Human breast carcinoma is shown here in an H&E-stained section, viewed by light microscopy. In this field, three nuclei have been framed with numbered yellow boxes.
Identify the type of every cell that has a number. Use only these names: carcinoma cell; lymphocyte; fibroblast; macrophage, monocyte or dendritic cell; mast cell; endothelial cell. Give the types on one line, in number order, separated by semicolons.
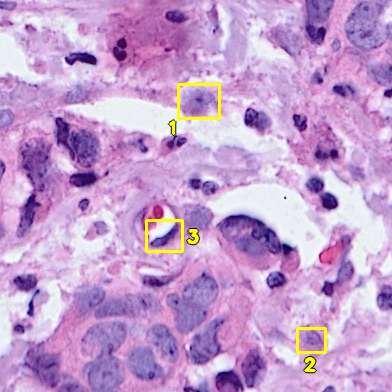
fibroblast; macrophage, monocyte or dendritic cell; endothelial cell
